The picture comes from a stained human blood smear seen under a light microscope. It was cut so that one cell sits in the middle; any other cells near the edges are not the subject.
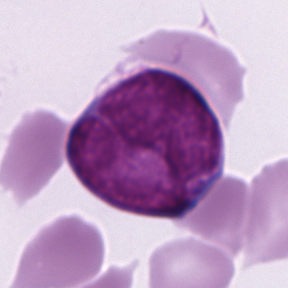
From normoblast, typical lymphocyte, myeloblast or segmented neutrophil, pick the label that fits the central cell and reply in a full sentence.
As for the cell in the middle, it is a myeloblast.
